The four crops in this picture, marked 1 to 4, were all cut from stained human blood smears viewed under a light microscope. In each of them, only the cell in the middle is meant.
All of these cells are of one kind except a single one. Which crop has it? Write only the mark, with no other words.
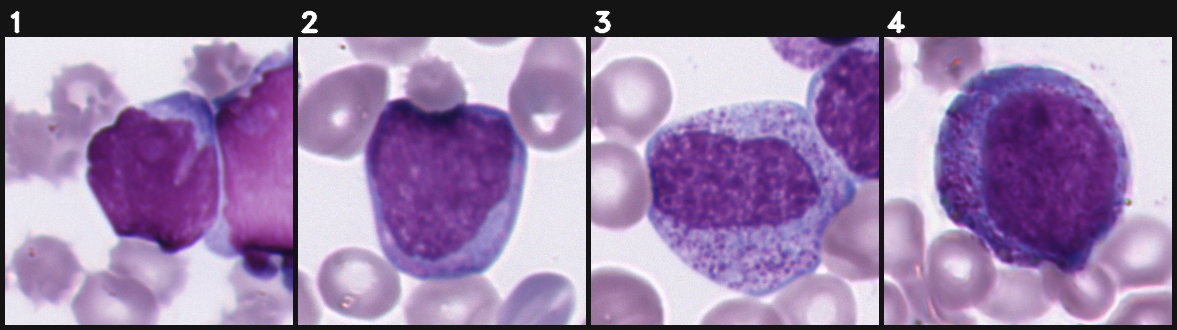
1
